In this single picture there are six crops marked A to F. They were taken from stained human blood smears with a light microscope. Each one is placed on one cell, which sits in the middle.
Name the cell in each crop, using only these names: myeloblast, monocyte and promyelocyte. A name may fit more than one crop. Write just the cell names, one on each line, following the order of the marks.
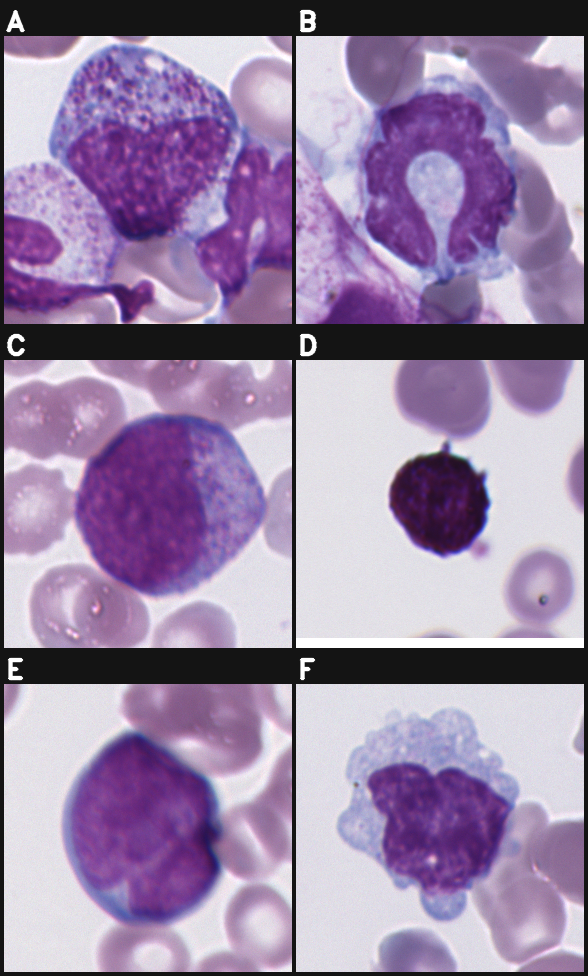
promyelocyte
monocyte
promyelocyte
myeloblast
myeloblast
monocyte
